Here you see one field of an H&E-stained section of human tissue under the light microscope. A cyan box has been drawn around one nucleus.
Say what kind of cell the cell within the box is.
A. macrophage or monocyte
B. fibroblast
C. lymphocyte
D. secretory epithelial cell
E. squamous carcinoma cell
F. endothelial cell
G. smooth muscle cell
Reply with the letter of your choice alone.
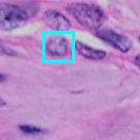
F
